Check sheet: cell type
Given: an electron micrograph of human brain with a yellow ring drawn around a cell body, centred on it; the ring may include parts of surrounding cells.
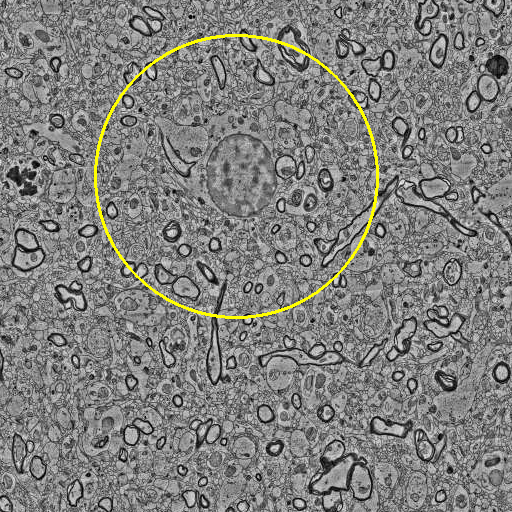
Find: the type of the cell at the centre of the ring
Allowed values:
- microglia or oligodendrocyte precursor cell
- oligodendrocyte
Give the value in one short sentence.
Here the ringed cell is an oligodendrocyte.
